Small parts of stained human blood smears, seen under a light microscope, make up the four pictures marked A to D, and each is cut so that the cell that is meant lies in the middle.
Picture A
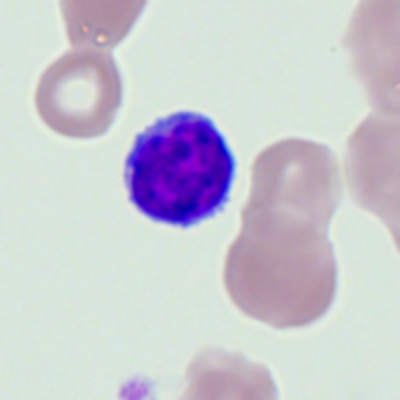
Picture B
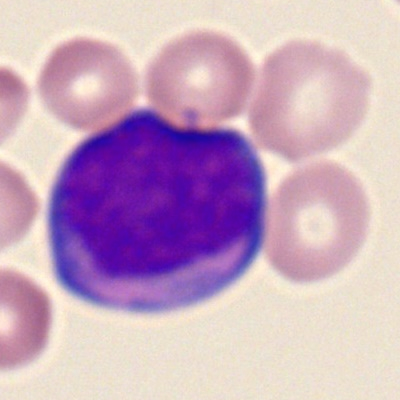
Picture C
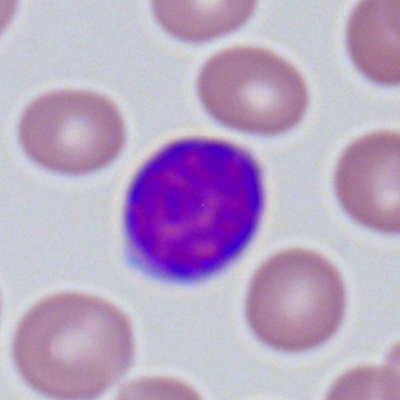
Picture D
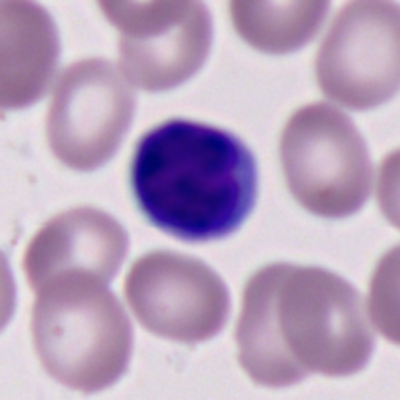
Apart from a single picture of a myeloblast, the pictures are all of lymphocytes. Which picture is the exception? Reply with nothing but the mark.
B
